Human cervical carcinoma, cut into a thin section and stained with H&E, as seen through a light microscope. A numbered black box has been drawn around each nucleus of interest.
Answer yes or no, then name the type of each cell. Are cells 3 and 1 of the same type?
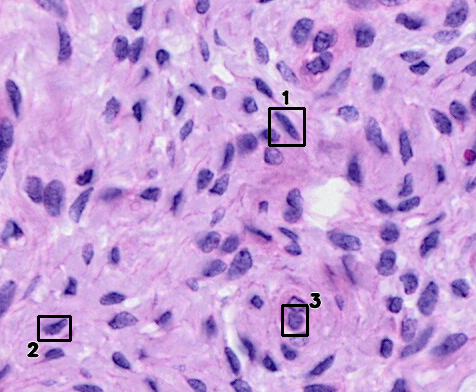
No, rather, cell 3 is an endothelial cell and cell 1 is a fibroblast.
